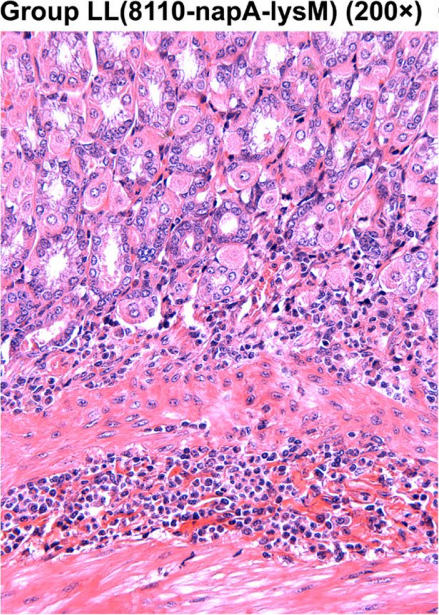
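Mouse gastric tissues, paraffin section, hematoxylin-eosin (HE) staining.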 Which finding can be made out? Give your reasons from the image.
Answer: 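A dense band of small cells with round, dark purple nuclei and scant cytoplasm lies below the glands. Further crowded small dark cells sit between the bases of the glands. The packed small cells lie against pink fibrous and muscular tissue at the bottom. That points to this answer: infiltration of lymphocytes.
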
